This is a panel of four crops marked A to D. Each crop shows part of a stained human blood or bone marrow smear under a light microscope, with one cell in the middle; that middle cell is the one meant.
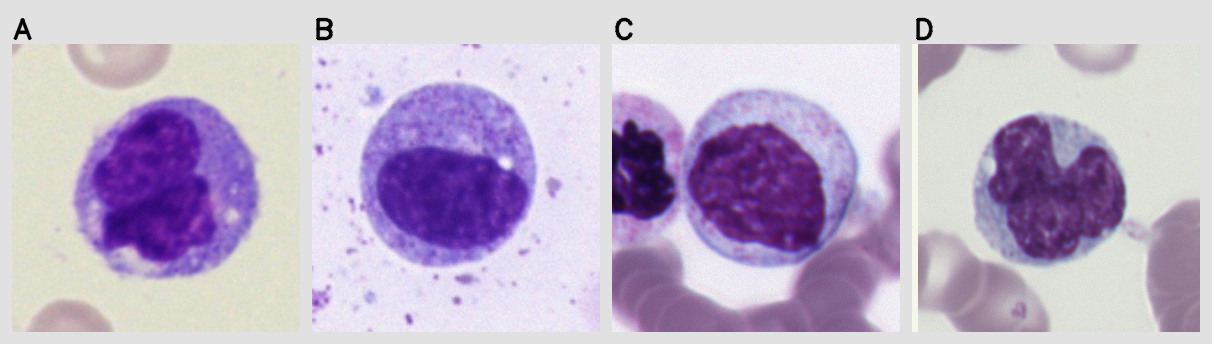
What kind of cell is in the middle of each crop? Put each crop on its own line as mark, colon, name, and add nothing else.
A: monocyte
B: myelocyte
C: myelocyte
D: monocyte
